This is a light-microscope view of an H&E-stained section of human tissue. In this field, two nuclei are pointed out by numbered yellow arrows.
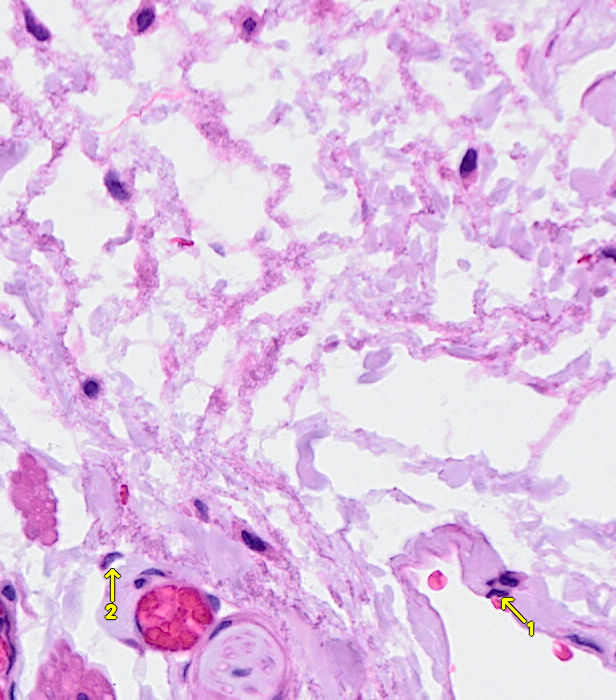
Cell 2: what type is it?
fibroblast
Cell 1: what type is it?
endothelial cell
